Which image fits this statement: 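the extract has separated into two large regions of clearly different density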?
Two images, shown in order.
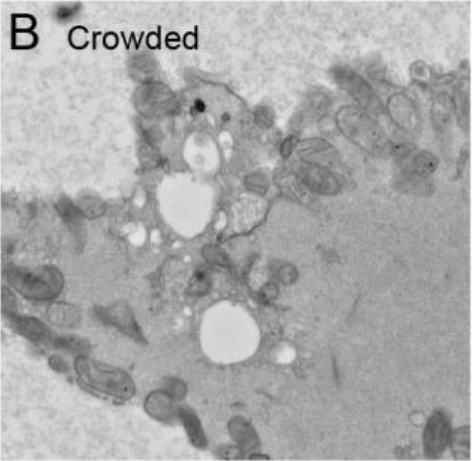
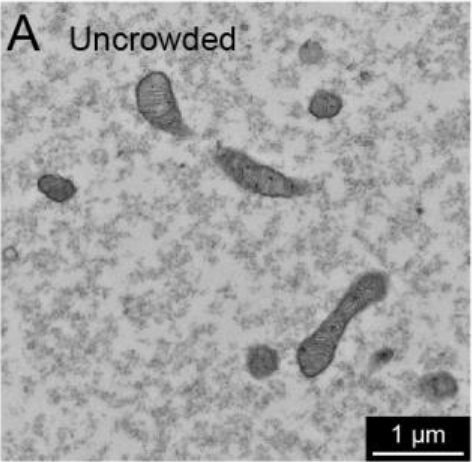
The first image.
